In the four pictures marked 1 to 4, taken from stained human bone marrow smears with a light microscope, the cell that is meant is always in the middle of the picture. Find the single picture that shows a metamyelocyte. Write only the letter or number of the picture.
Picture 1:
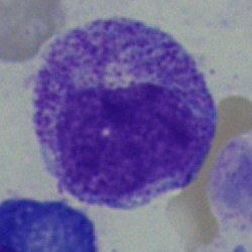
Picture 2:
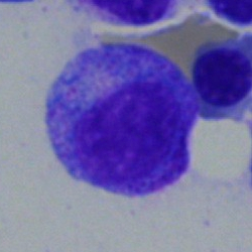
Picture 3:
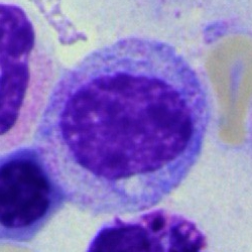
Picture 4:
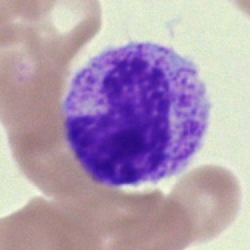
4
